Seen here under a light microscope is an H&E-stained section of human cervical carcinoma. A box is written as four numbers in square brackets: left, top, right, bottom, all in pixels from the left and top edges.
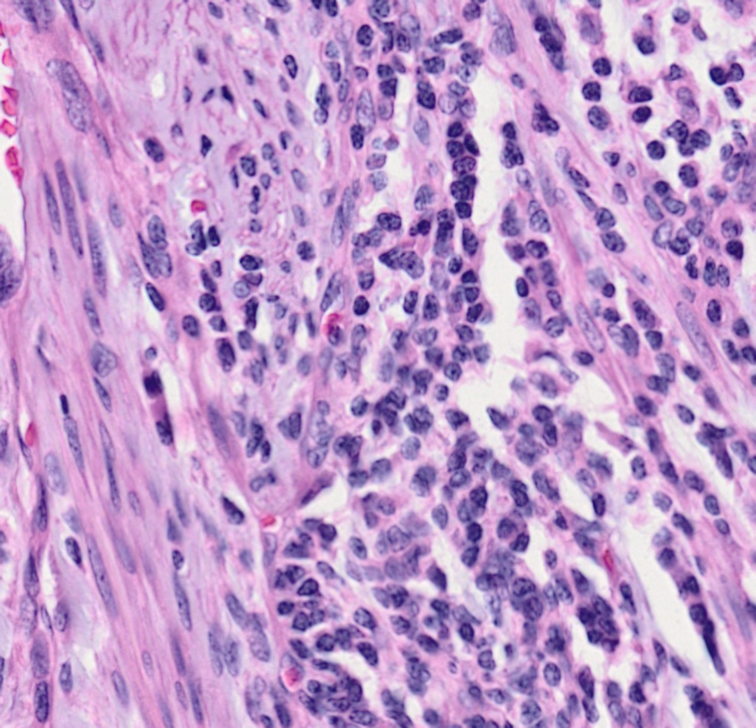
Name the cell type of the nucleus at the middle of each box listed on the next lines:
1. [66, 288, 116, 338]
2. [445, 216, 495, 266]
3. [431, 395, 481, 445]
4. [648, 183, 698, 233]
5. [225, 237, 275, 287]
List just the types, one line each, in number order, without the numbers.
smooth muscle cell
lymphocyte
lymphocyte
endothelial cell
lymphocyte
